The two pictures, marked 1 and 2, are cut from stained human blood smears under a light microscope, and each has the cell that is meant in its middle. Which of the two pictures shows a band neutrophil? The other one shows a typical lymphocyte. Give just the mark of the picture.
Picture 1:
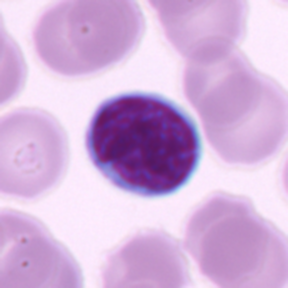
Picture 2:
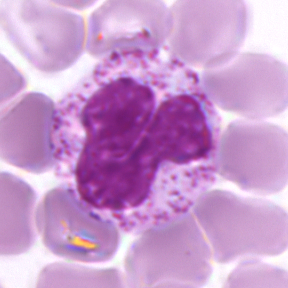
2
